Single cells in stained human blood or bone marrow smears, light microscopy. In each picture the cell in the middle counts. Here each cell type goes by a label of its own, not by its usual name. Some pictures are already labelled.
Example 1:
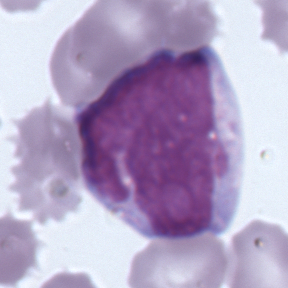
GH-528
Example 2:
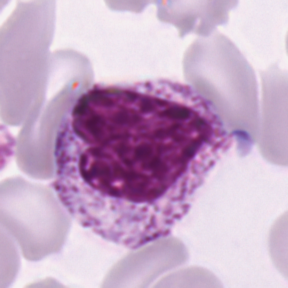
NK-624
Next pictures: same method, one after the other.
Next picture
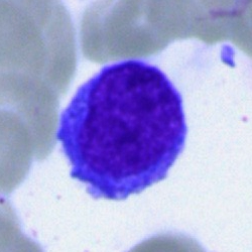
GH-528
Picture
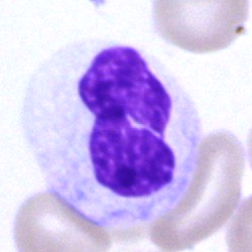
NK-624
